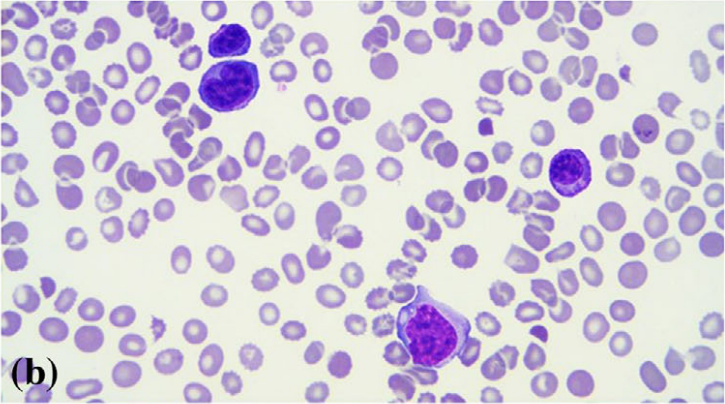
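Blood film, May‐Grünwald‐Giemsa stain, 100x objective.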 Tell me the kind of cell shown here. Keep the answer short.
Atypical plasma cells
